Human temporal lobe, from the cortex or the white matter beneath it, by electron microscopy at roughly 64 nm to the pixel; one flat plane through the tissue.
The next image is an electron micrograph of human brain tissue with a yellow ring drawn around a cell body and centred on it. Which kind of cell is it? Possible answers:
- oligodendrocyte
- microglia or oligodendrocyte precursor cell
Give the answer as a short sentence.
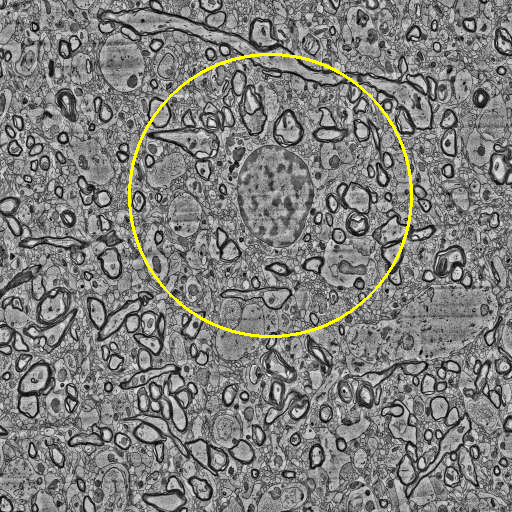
In the ring's centre is a microglial cell or oligodendrocyte precursor cell.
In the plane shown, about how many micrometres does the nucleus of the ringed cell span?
In this plane the nucleus measures roughly 7 by 5 micrometres.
